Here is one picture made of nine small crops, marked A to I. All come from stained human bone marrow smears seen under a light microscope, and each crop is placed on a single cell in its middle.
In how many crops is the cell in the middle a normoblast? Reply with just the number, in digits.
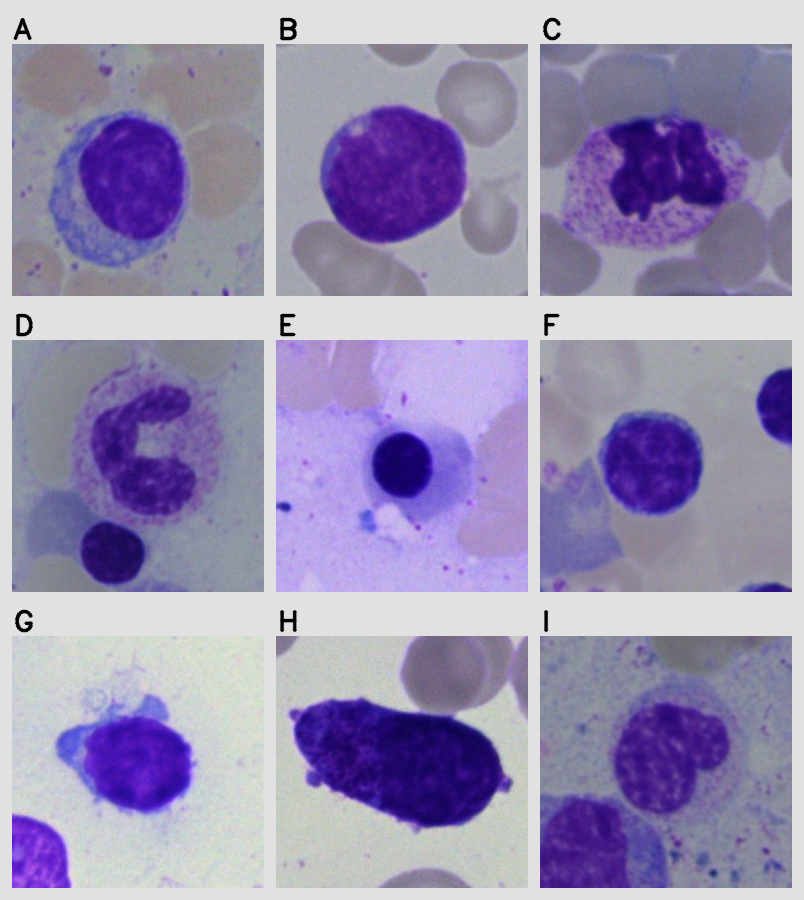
1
